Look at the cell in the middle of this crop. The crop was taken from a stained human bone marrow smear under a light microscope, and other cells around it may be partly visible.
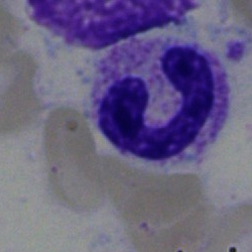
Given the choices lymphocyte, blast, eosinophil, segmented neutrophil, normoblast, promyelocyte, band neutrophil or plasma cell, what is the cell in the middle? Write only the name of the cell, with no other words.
band neutrophil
